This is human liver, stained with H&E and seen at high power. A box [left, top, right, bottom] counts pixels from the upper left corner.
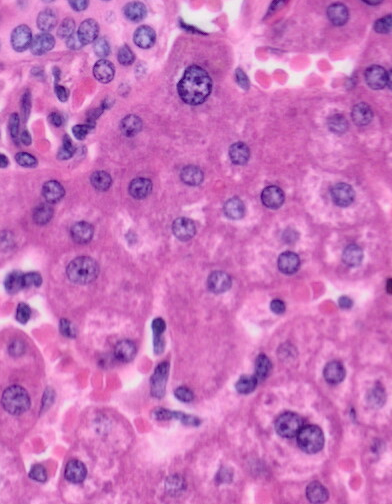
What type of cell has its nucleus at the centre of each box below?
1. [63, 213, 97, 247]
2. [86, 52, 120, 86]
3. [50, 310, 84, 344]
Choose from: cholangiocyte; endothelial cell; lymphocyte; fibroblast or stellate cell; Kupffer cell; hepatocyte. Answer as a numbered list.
1. hepatocyte
2. cholangiocyte
3. fibroblast or stellate cell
